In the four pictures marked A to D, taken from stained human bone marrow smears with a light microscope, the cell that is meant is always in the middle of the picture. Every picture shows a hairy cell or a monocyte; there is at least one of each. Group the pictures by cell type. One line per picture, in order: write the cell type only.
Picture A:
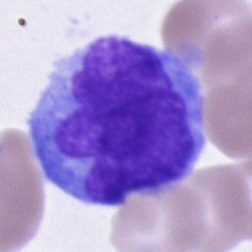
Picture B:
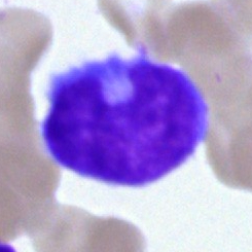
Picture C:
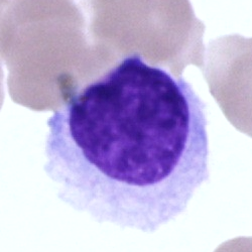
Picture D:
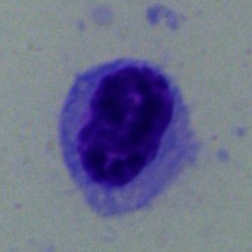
monocyte
monocyte
hairy cell
hairy cell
